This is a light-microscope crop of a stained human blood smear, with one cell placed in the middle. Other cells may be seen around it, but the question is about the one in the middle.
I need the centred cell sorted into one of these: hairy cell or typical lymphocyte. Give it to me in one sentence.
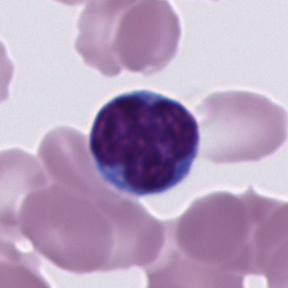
The cell at the centre of the field is a typical lymphocyte.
